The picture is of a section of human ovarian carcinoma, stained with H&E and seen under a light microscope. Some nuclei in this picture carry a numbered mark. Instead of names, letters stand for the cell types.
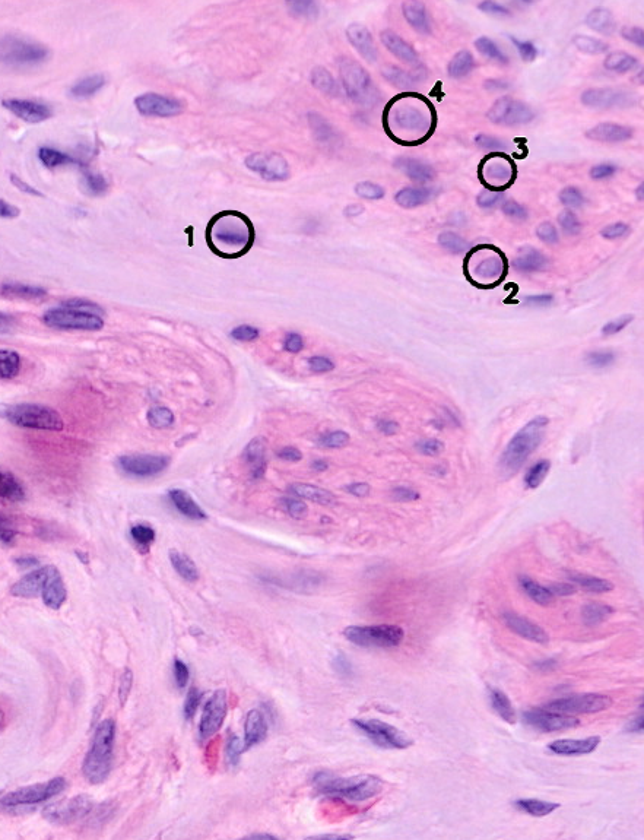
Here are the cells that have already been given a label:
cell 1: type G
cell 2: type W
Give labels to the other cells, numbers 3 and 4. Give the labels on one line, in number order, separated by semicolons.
type W; type W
